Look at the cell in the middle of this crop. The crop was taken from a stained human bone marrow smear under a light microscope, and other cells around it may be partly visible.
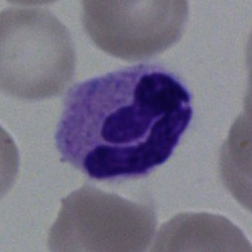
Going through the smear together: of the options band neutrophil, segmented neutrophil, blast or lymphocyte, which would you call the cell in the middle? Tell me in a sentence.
Present in the middle of the crop is a segmented neutrophil.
